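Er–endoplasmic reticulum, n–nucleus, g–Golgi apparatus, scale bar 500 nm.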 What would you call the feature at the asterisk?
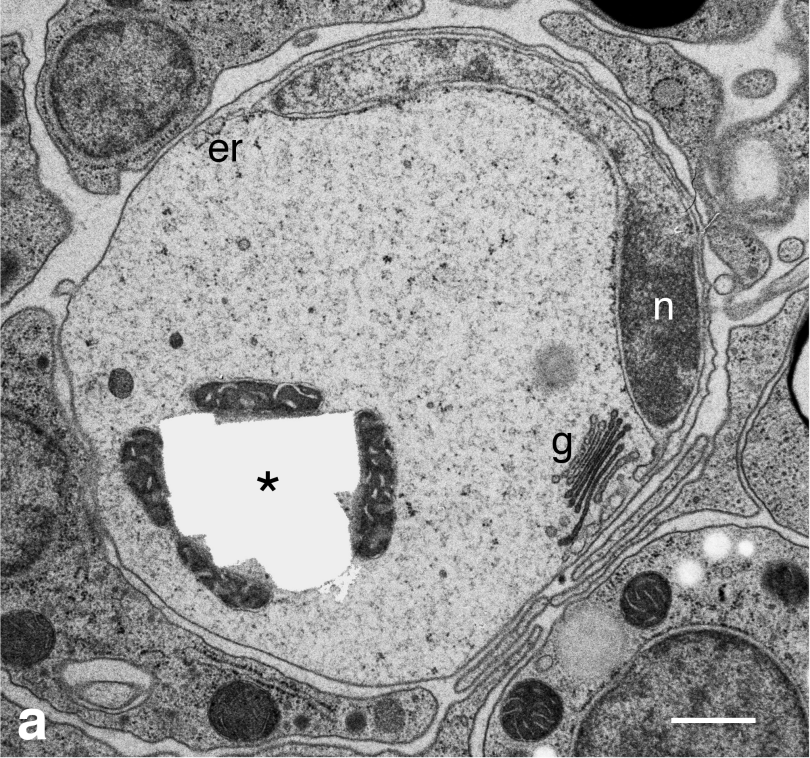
Void previously occupied by crystal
